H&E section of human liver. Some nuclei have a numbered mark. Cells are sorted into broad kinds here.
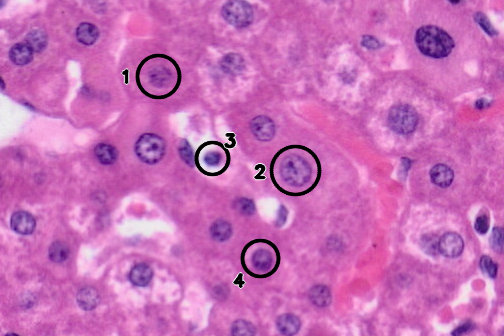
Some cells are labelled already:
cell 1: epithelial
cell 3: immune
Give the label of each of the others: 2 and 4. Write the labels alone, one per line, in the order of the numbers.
epithelial
epithelial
